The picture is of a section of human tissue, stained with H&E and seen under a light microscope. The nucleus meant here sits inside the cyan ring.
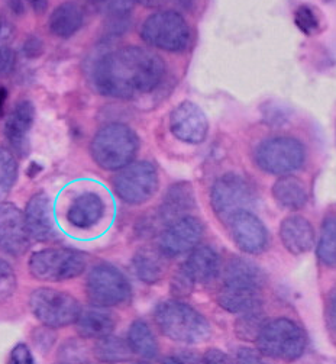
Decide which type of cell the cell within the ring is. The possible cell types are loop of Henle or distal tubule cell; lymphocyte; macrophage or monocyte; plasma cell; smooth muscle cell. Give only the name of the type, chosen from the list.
macrophage or monocyte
